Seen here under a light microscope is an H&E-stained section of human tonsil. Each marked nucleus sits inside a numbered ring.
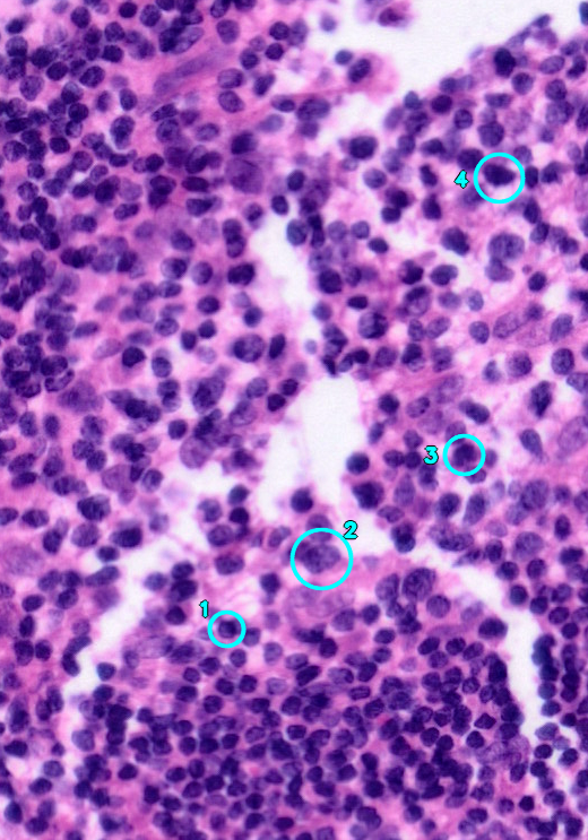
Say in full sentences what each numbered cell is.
Cell 1 is a small lymphocyte. Cells 2, 3 and 4 are proliferating B cells.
